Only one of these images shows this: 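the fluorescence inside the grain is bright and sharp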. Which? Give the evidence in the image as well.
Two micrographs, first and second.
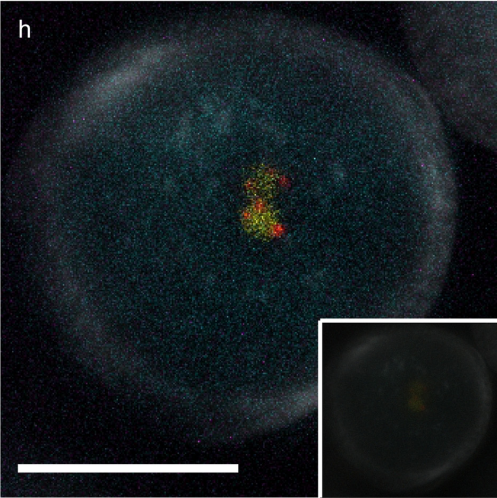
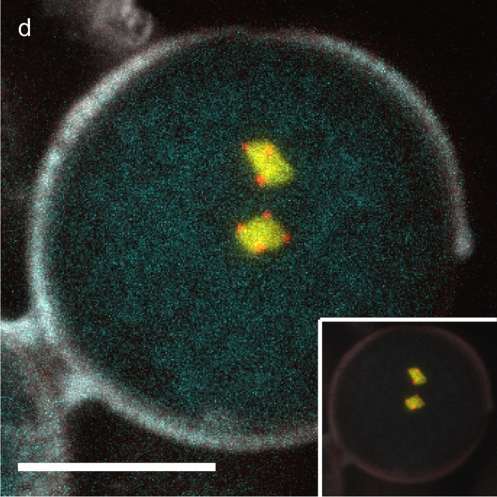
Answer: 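First image: the yellow nuclear signal is faint and grainy, and the inset is nearly dark. Second image: two bright, crisp yellow bodies with red dots, also clearly visible in the inset. On this evidence: the second image.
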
